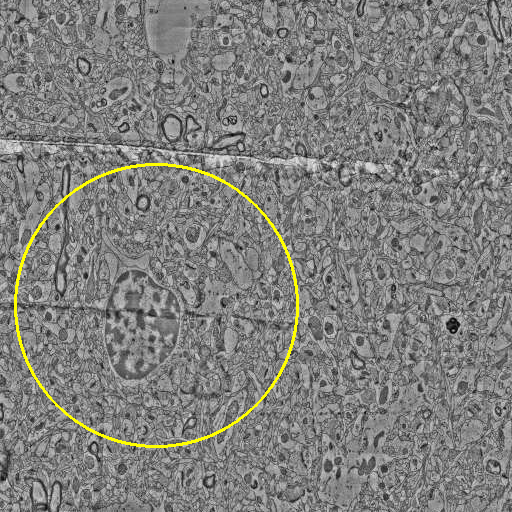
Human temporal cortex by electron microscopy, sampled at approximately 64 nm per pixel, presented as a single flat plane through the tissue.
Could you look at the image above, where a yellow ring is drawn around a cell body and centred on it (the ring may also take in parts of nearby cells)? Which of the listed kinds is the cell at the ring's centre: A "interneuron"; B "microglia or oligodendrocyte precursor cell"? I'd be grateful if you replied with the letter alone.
B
